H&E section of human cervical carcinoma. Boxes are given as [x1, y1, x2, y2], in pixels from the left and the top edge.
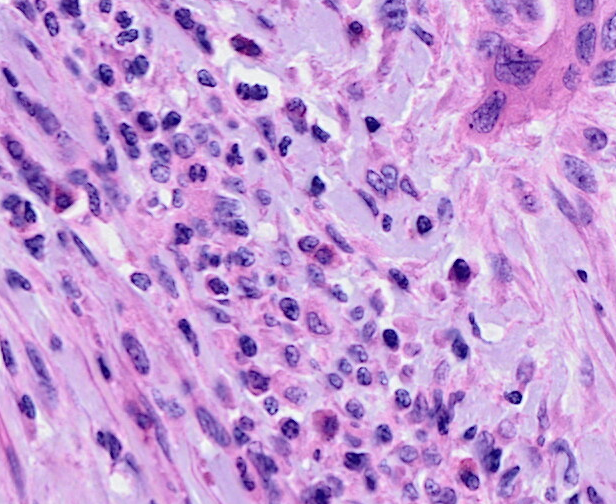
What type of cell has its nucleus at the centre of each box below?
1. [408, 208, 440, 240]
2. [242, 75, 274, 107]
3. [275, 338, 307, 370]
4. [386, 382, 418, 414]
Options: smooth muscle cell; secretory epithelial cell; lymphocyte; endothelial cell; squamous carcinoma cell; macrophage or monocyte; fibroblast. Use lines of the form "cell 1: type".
cell 1: lymphocyte
cell 2: lymphocyte
cell 3: macrophage or monocyte
cell 4: lymphocyte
